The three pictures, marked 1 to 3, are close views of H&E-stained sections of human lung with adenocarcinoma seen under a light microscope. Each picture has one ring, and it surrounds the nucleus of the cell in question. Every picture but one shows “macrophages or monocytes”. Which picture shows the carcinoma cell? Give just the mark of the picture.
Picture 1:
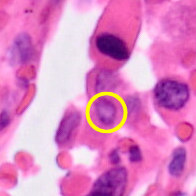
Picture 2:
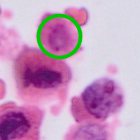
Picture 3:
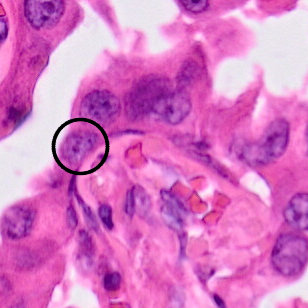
3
